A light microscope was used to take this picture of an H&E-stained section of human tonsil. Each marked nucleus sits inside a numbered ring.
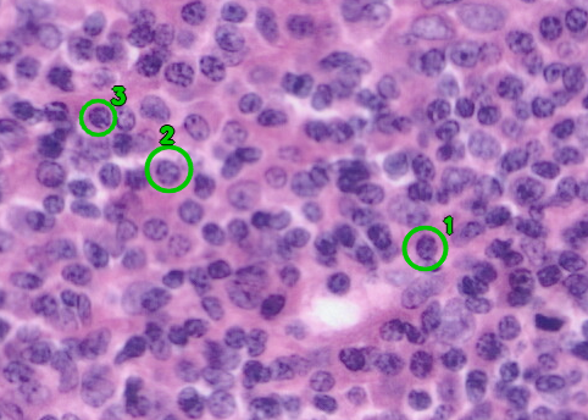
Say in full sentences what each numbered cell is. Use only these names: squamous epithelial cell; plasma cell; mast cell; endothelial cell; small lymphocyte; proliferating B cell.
Cell 1 is an endothelial cell, cell 2 is a plasma cell and cell 3 is a plasma cell.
